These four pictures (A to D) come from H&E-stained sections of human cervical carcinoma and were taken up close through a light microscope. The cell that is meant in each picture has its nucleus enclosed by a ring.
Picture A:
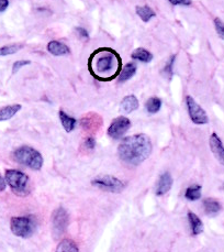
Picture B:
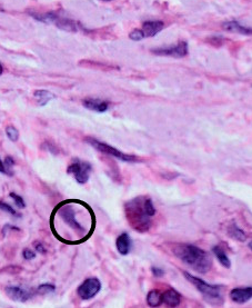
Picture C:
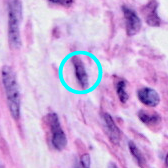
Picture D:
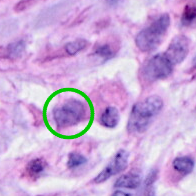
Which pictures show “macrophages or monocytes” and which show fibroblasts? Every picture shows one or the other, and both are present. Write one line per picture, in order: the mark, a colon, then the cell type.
A: fibroblast
B: fibroblast
C: fibroblast
D: macrophage or monocyte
